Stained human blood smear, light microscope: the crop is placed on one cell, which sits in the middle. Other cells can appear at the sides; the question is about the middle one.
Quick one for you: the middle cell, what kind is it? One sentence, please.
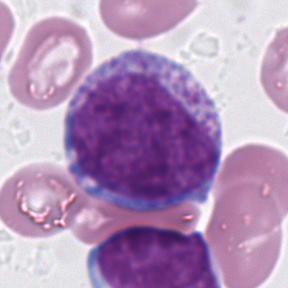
Answering briefly, the cell in the middle is a promyelocyte.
